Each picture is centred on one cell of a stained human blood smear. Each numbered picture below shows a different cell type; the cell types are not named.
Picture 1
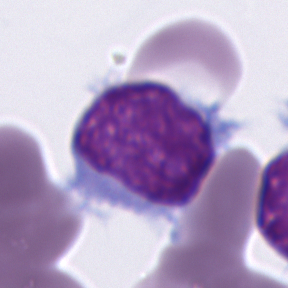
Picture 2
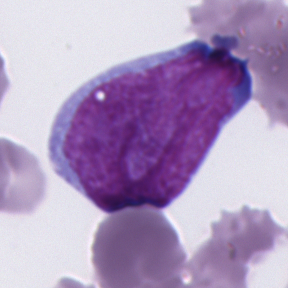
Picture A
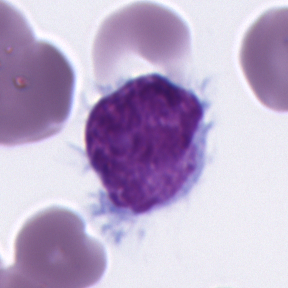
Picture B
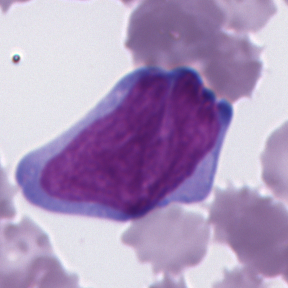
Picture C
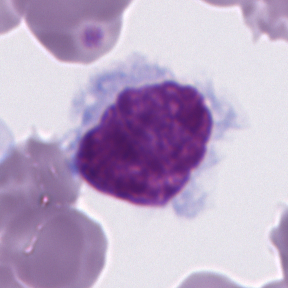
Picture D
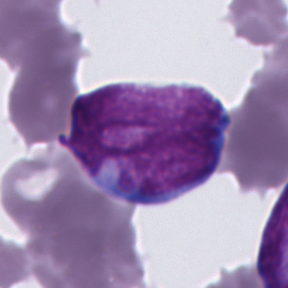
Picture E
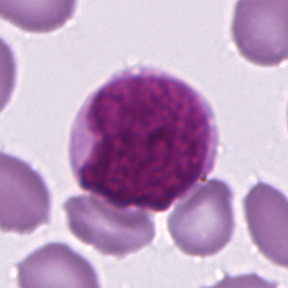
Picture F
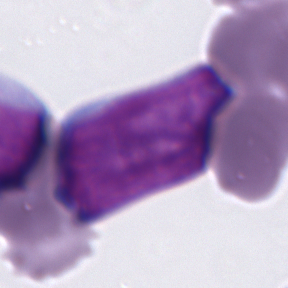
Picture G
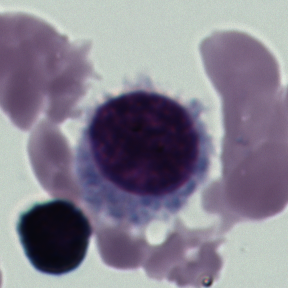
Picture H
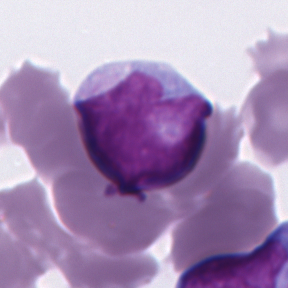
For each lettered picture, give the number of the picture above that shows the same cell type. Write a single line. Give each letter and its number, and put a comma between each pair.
A 1, B 2, C 1, D 2, E 2, F 2, G 1, H 2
